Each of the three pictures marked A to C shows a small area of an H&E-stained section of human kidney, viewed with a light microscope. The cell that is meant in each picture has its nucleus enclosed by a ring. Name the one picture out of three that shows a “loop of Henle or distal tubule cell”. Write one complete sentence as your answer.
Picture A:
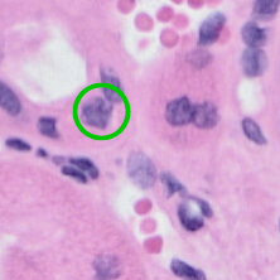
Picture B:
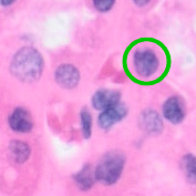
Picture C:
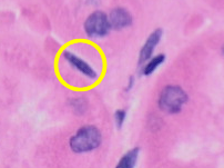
The “loop of Henle or distal tubule cell” is the one in picture B.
